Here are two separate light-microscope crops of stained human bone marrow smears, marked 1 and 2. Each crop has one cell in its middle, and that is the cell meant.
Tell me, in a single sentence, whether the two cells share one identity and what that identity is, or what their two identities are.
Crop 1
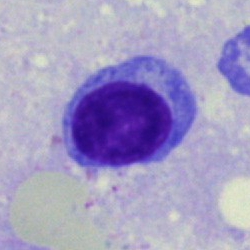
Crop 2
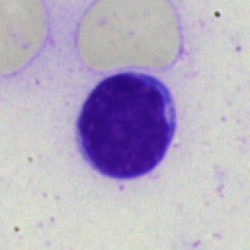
Yes, as shown in both crops, the central cells are lymphocytes.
